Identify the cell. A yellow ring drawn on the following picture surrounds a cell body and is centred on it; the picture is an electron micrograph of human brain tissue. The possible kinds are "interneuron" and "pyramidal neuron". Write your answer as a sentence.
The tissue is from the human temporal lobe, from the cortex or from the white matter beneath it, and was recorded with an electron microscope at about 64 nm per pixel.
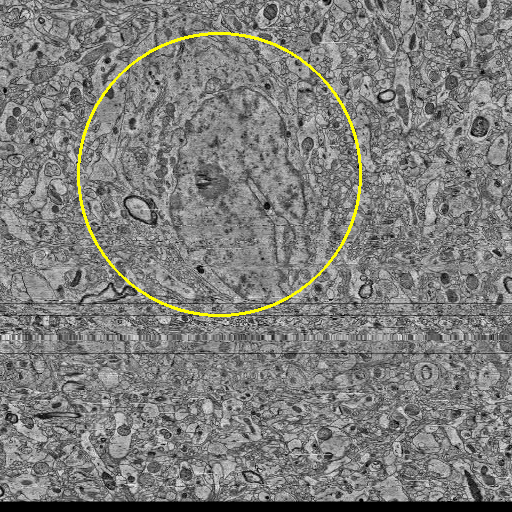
The cell identified by the ring is an interneuron.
